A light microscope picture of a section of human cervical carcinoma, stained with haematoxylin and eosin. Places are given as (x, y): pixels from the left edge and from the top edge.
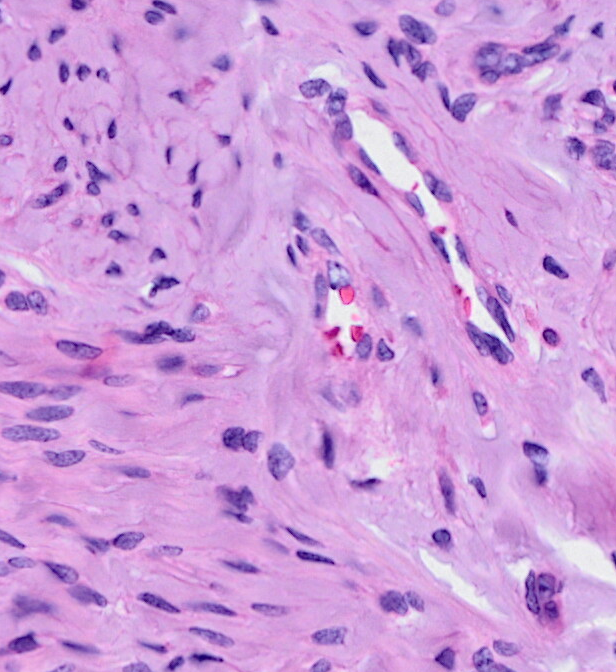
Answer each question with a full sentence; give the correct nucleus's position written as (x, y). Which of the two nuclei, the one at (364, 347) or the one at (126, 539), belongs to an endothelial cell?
The correct choice is the nucleus at (364, 347), which belongs to an endothelial cell.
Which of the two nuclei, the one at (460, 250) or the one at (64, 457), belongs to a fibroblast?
Between the pair, the nucleus at (64, 457) belongs to a fibroblast.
